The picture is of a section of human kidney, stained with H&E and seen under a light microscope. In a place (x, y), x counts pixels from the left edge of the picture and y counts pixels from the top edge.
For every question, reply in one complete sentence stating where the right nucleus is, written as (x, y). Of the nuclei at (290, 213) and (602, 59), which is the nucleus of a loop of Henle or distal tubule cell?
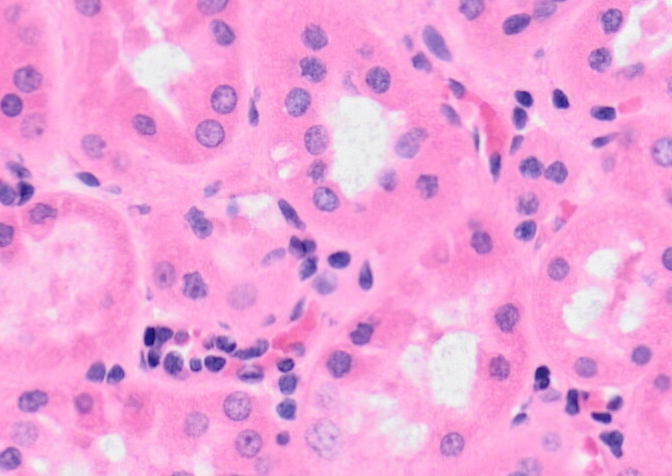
Only the nucleus at (602, 59), of the two, belongs to a loop of Henle or distal tubule cell.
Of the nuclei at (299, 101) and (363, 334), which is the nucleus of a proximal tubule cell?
The nucleus at position (363, 334) belongs to a proximal tubule cell.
